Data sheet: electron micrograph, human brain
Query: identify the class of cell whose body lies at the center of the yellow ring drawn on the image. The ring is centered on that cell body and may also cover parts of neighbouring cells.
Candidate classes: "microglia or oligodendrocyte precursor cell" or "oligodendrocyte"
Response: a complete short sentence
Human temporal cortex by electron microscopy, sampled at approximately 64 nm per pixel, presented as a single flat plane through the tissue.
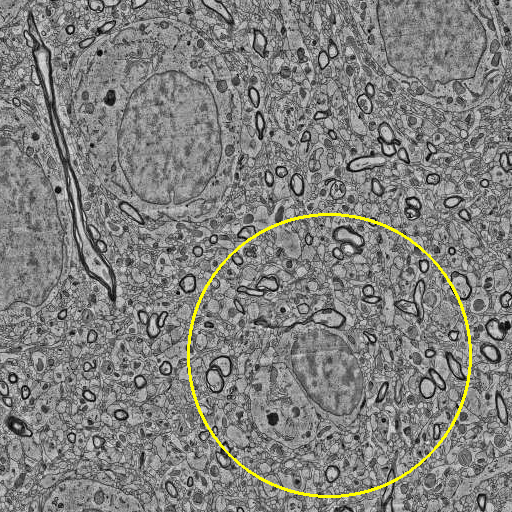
At the center of the ring lies an oligodendrocyte.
